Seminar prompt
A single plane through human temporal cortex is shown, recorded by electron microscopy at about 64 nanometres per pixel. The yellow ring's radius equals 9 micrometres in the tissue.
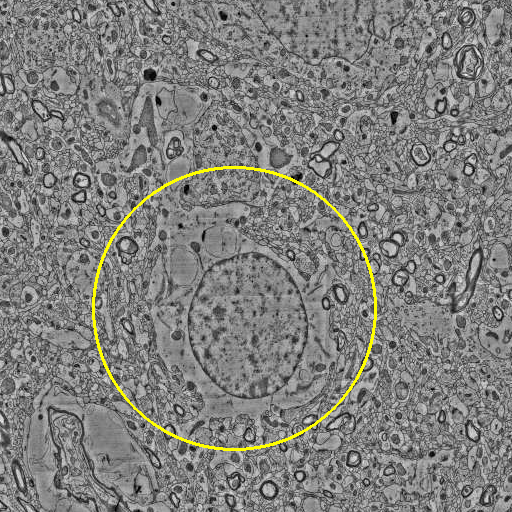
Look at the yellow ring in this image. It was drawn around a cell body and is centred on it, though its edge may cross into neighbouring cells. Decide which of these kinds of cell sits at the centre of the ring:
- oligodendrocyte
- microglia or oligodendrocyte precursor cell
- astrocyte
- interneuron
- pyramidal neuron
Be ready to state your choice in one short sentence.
The kind of cell at the ring's centre is an astrocyte.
